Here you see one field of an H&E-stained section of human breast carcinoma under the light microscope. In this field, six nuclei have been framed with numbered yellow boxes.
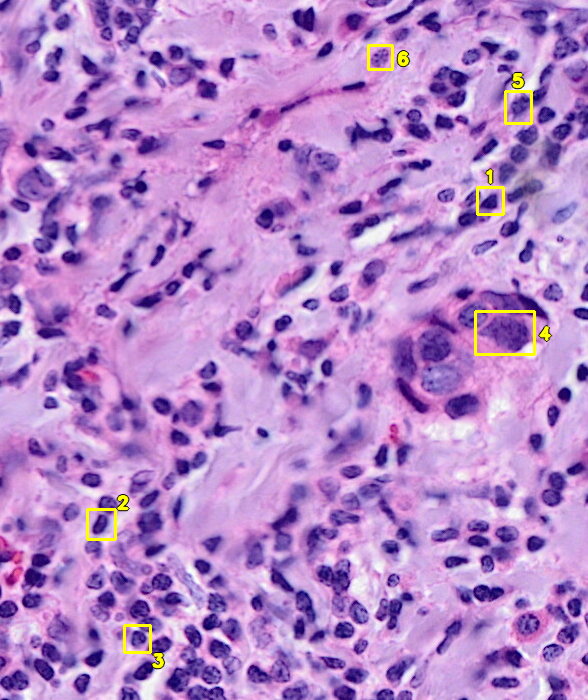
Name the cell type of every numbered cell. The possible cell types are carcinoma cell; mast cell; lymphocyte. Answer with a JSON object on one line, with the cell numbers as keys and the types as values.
{"1": "lymphocyte", "2": "lymphocyte", "3": "lymphocyte", "4": "carcinoma cell", "5": "lymphocyte", "6": "mast cell"}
